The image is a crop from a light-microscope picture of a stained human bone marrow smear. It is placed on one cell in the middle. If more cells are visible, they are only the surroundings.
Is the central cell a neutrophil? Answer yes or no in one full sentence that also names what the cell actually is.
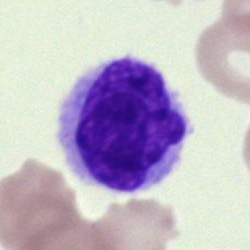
No, the middle cell is classified as a monocyte and not as a neutrophil.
